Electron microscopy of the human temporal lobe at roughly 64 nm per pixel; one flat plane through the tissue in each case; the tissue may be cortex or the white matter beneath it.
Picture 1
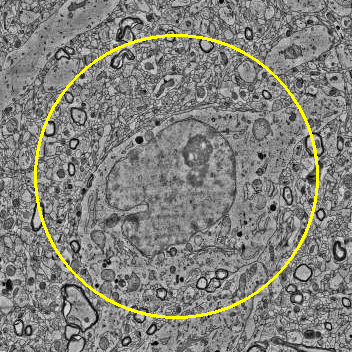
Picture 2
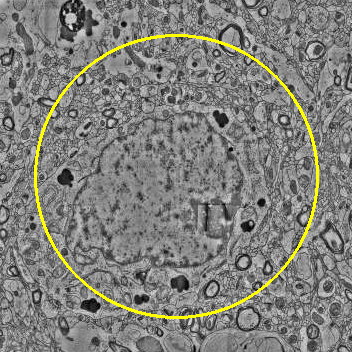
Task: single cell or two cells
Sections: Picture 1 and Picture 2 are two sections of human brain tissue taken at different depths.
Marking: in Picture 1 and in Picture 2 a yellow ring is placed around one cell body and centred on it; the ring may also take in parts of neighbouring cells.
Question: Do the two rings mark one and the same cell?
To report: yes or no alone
no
